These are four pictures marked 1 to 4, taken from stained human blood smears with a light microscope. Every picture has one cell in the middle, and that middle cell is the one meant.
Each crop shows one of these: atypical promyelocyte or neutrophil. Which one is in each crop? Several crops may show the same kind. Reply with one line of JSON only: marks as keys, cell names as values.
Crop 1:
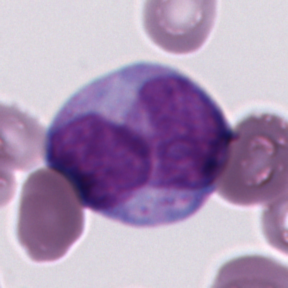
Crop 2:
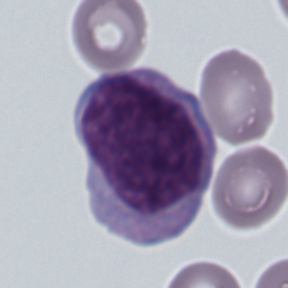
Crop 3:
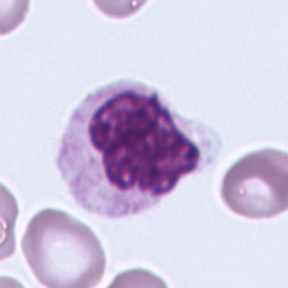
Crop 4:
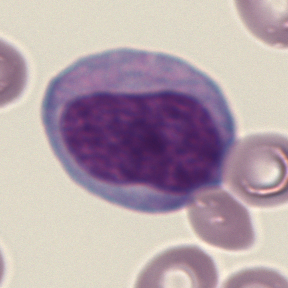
{"1": "atypical promyelocyte", "2": "atypical promyelocyte", "3": "neutrophil", "4": "atypical promyelocyte"}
